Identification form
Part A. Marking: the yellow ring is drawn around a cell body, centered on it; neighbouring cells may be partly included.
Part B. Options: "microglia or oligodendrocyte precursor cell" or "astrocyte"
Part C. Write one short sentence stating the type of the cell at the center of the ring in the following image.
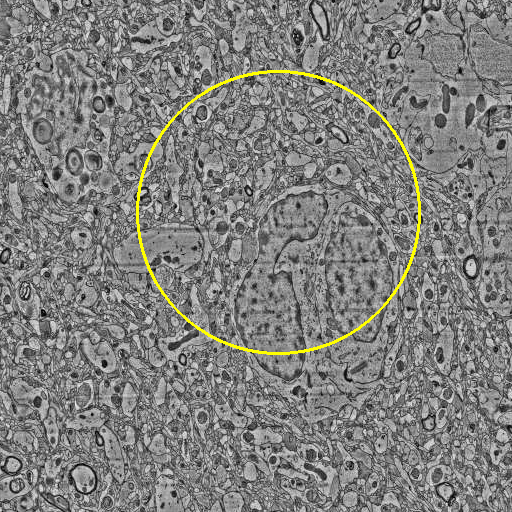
The center of the ring holds a microglial cell or oligodendrocyte precursor cell.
